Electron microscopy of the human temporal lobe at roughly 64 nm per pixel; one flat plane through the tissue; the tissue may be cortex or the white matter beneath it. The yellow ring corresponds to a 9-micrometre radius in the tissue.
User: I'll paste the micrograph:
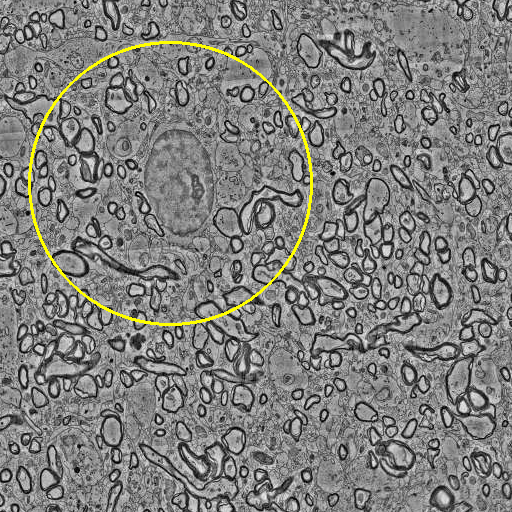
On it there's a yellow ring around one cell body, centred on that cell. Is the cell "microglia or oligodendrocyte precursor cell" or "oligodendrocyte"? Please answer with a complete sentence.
The cell ringed in yellow is an oligodendrocyte.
